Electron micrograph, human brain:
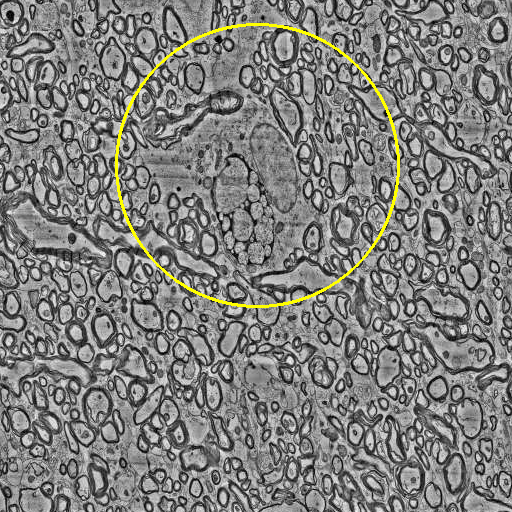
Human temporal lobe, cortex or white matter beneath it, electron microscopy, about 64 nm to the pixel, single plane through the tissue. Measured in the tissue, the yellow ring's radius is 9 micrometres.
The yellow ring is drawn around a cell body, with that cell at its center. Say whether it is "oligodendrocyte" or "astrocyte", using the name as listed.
astrocyte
